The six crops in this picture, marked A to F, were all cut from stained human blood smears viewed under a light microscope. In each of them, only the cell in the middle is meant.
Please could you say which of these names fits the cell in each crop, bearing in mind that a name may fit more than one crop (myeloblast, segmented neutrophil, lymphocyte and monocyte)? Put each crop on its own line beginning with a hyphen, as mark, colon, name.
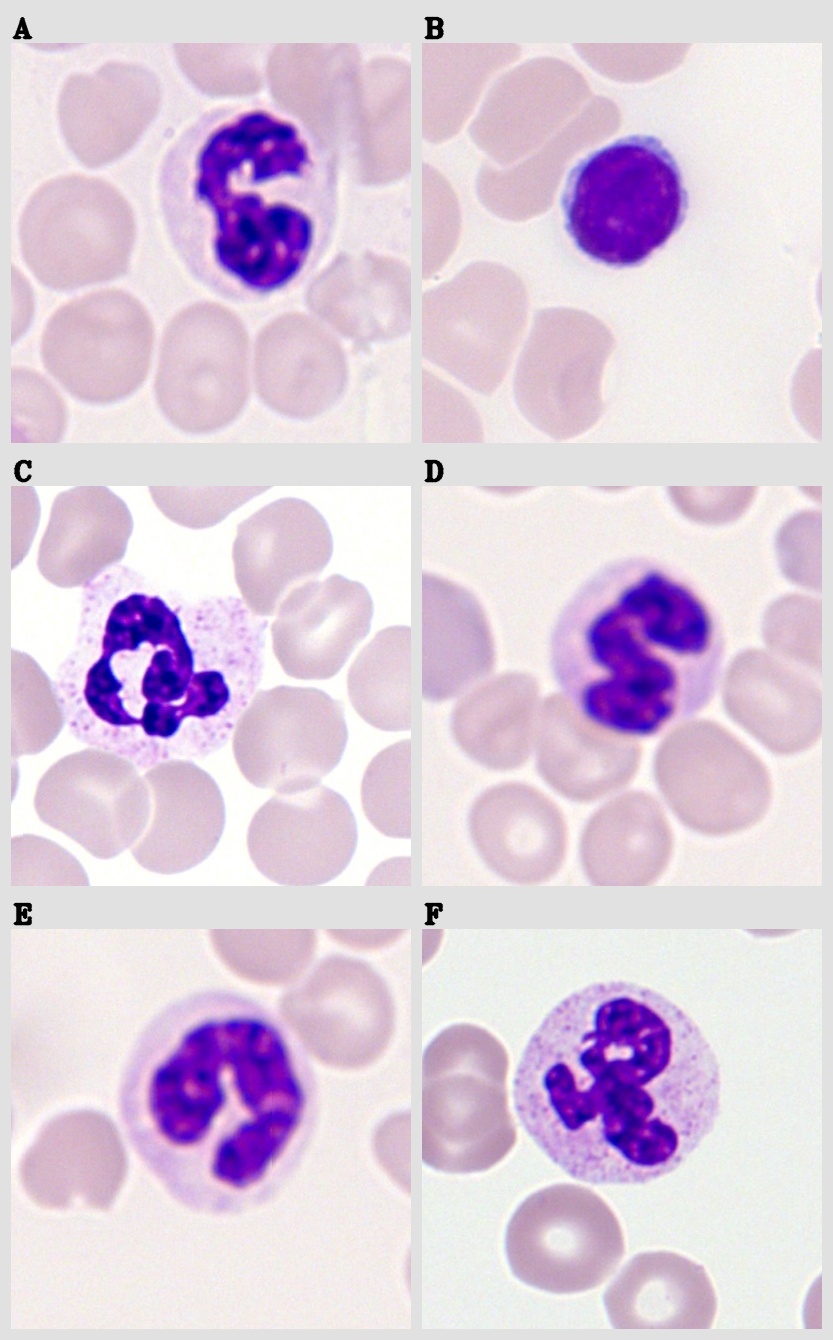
- A: segmented neutrophil
- B: lymphocyte
- C: segmented neutrophil
- D: segmented neutrophil
- E: segmented neutrophil
- F: segmented neutrophil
